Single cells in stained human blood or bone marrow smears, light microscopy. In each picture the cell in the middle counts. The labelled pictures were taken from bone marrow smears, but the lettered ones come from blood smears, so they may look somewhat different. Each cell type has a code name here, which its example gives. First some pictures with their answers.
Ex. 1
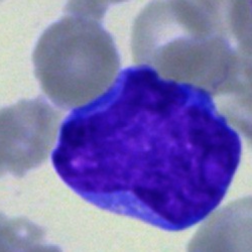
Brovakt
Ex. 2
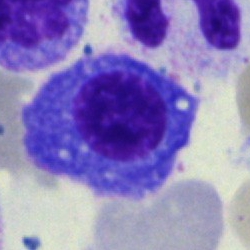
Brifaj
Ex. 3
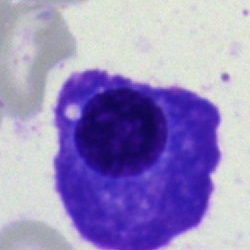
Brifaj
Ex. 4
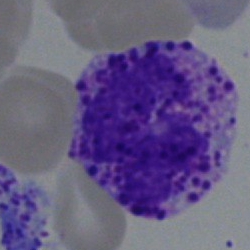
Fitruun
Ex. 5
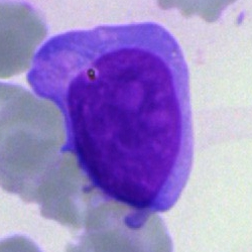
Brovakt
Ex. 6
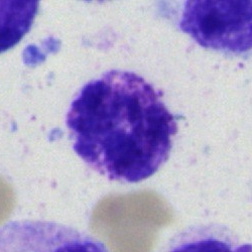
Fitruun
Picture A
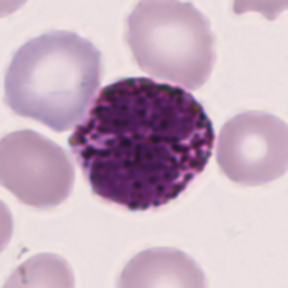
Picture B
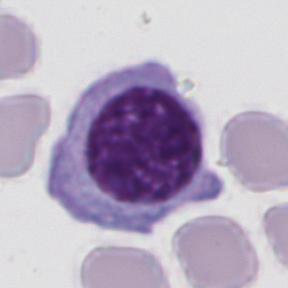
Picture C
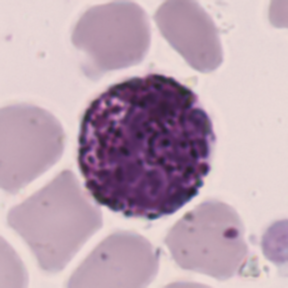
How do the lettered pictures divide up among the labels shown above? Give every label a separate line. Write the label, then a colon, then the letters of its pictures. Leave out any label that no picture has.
Brifaj: B
Fitruun: A, C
